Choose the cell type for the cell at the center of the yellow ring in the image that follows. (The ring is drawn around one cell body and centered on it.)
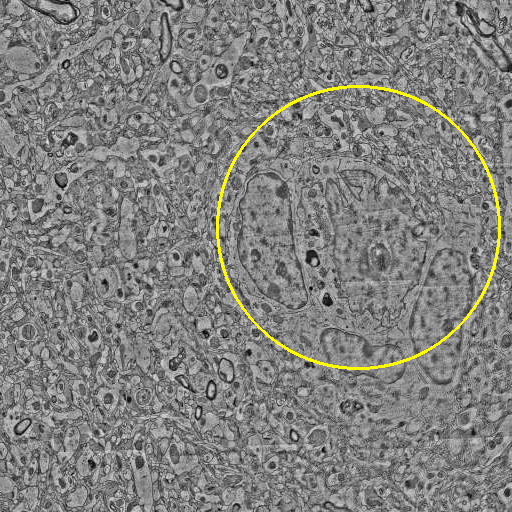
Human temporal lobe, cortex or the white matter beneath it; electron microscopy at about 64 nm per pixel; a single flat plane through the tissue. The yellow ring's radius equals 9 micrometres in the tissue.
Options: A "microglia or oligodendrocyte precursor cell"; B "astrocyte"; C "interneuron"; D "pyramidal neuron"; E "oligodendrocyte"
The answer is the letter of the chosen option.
C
